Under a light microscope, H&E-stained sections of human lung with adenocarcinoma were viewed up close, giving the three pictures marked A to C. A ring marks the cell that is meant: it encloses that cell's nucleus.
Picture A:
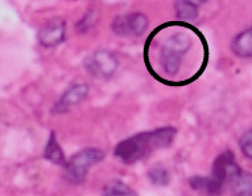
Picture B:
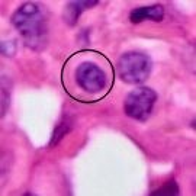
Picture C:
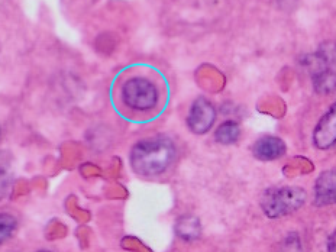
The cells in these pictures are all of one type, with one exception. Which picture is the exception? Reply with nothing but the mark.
B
